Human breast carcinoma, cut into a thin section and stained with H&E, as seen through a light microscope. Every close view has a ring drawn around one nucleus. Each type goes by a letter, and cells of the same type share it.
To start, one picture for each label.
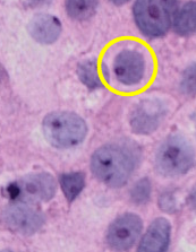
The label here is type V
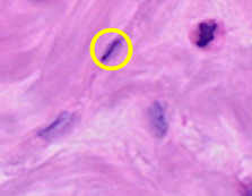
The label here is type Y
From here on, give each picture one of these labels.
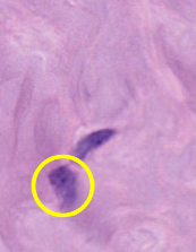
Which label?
type Y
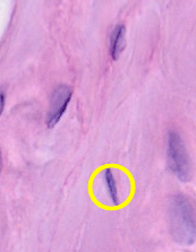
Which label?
type Y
